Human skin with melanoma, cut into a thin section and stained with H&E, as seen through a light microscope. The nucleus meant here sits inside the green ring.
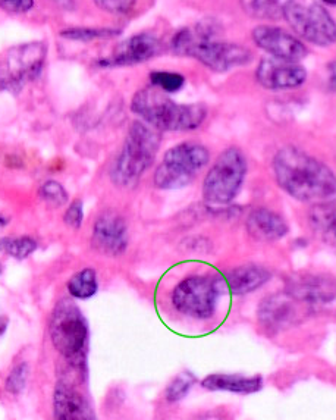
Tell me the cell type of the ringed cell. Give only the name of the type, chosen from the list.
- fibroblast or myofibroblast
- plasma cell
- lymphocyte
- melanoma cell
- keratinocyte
melanoma cell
